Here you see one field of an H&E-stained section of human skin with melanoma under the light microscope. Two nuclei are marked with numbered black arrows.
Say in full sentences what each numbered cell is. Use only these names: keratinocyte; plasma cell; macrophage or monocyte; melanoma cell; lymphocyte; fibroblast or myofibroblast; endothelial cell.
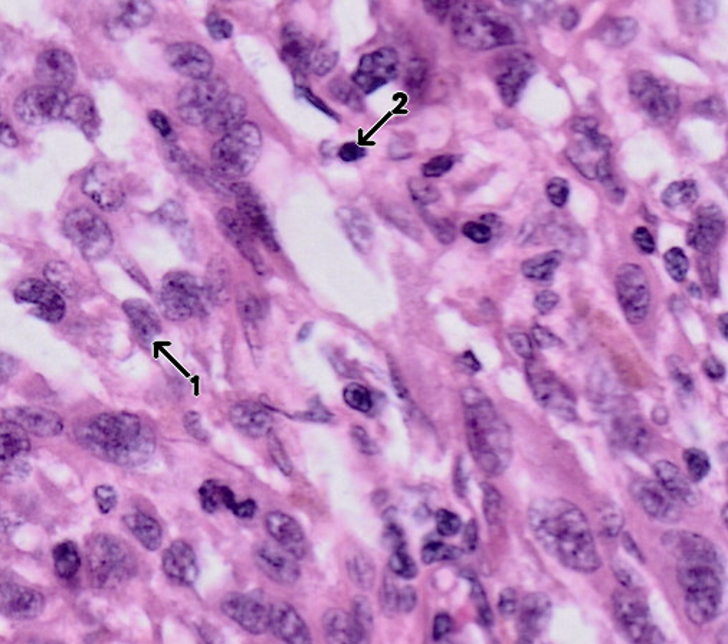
Cell 1 is a melanoma cell and cell 2 is a lymphocyte.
